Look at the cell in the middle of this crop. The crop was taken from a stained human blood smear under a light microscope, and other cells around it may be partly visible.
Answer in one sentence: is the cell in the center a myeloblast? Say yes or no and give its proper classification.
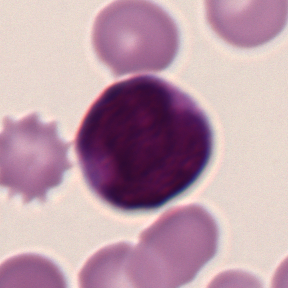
Yes, the cell here in the middle is a myeloblast.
